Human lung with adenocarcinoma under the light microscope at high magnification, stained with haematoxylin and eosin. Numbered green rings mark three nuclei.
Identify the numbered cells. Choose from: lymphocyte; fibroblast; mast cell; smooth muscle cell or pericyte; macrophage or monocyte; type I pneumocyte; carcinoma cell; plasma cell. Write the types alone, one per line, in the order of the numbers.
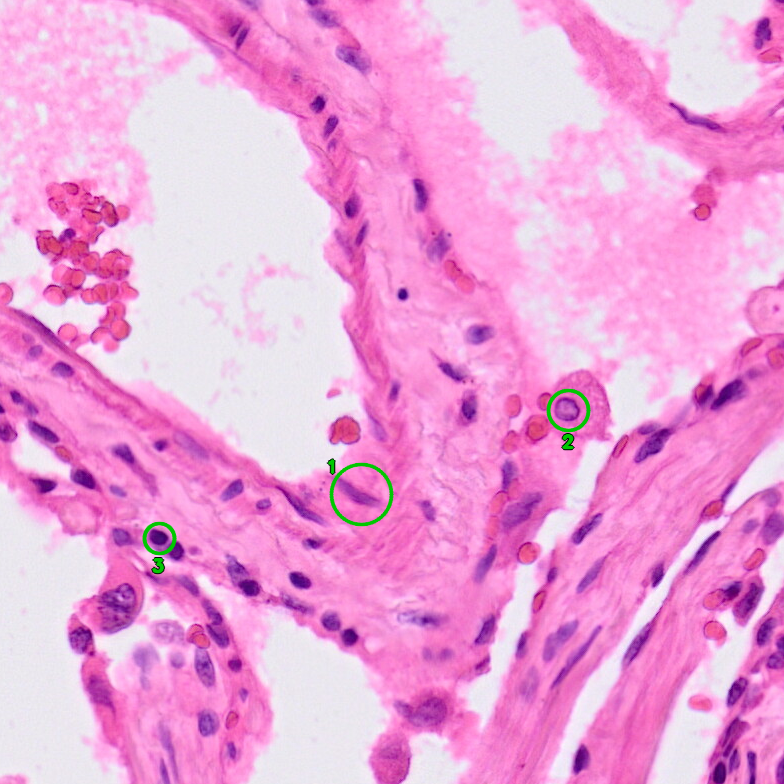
smooth muscle cell or pericyte
macrophage or monocyte
lymphocyte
